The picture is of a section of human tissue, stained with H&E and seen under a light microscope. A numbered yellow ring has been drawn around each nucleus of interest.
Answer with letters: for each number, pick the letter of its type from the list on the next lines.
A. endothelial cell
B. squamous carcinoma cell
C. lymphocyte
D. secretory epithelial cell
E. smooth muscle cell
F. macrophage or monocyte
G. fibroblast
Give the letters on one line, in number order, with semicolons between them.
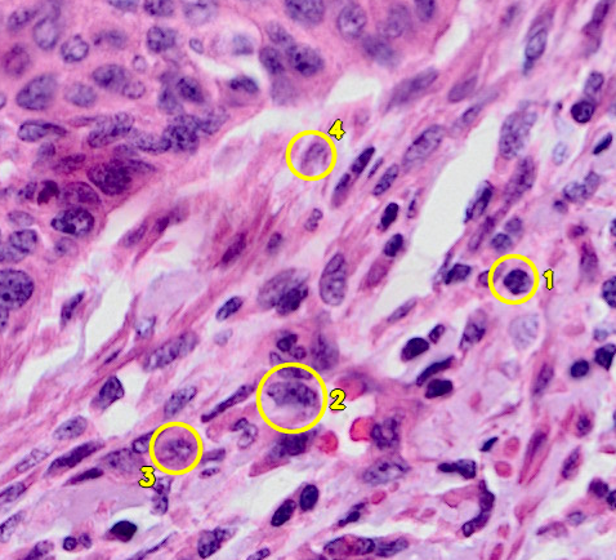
C; A; A; G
